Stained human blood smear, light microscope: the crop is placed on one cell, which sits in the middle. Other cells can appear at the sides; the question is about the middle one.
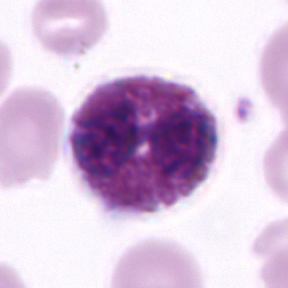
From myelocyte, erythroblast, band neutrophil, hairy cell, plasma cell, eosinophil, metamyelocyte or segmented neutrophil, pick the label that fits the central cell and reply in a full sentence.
In the crop, the cell of interest at the centre is an eosinophil.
